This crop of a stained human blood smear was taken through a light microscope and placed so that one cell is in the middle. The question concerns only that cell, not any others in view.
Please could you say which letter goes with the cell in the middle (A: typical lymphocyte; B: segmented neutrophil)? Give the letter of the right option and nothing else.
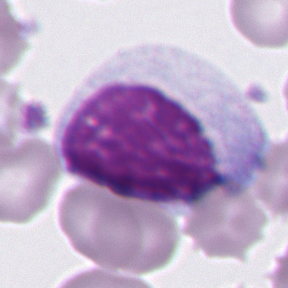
A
